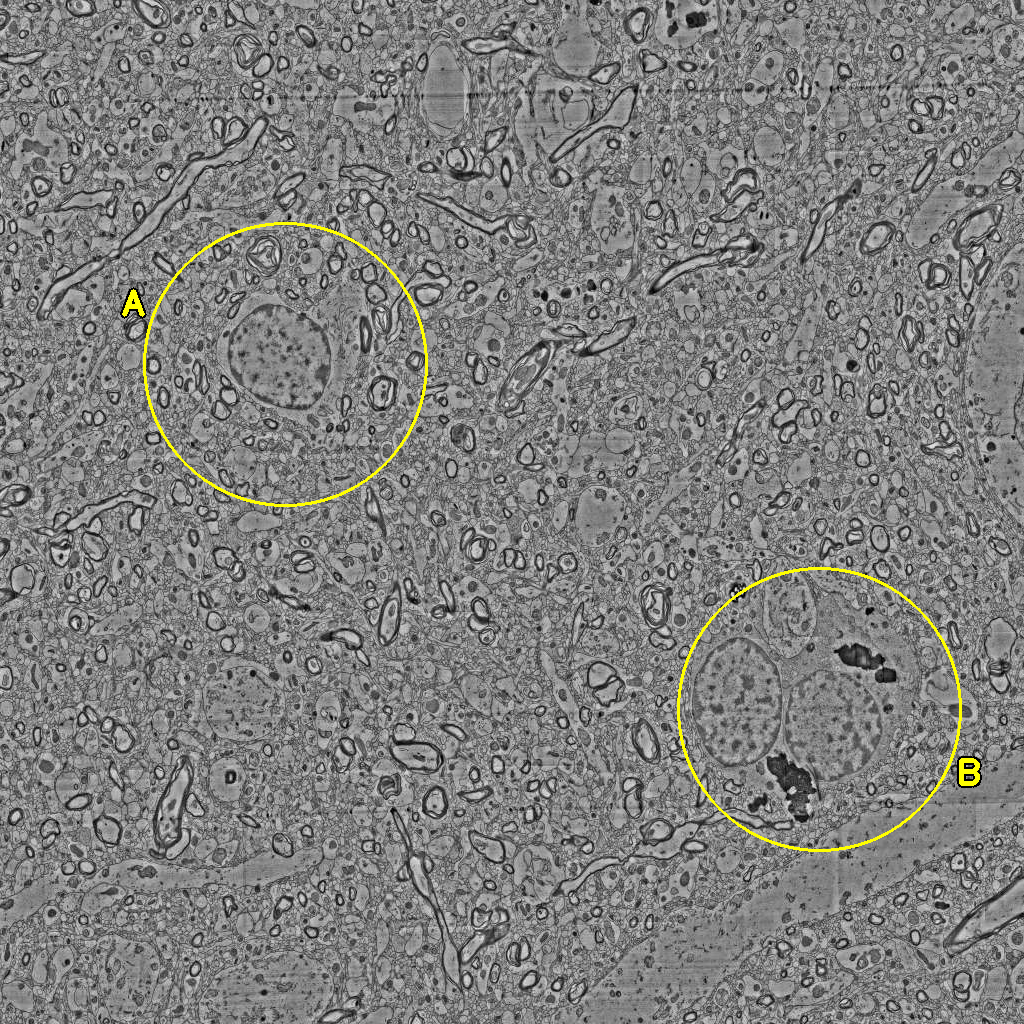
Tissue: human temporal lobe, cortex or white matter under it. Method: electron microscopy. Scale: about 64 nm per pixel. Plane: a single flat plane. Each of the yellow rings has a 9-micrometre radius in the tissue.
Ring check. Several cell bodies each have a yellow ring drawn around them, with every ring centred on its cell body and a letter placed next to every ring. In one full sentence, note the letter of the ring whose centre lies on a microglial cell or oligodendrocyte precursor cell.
At the centre of ring A lies the cell asked for in this check.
